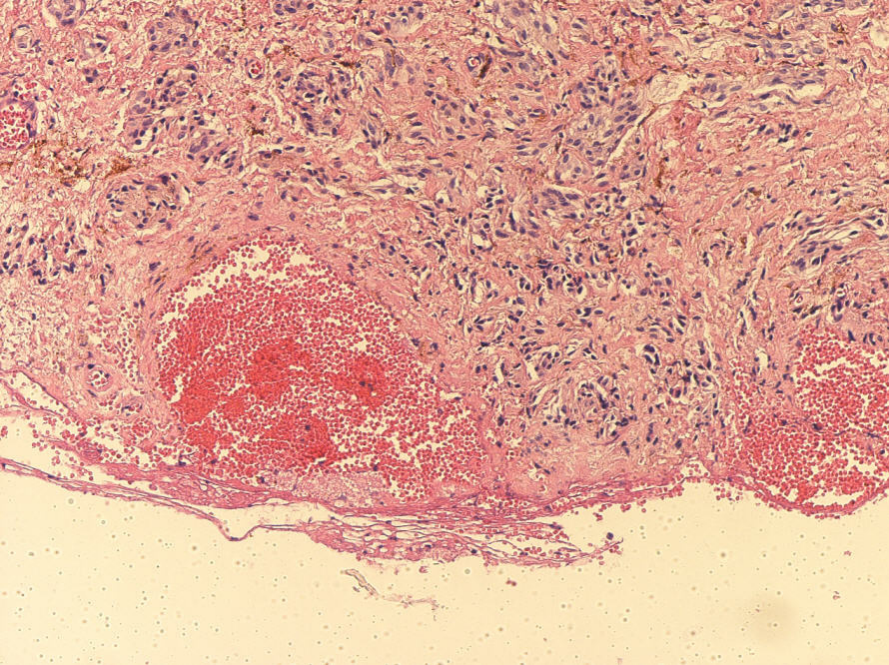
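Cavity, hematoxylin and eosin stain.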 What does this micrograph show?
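Fibrous tissue with blood-filled pseudovascular spaces surrounded by dendritic melanocytes. Along the lower edge, two rounded spaces are packed with red blood cells. They are bounded directly by pink collagenous stroma and spindle cells, with no flat cell layer lining them. Above and between these spaces lies a moderately cellular stroma. Its spindle-shaped and stellate cells have elongated, darkly stained purple nuclei and lie in loose wavy pink collagen bundles. In places these cells form small whorls. Below the tissue edge lies empty pale background with a few stray red cells.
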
